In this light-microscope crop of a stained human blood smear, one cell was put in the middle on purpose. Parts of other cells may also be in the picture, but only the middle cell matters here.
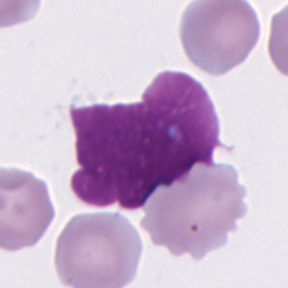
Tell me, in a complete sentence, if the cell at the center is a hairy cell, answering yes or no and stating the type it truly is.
No, the middle cell is actually a smudge cell rather than a hairy cell.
